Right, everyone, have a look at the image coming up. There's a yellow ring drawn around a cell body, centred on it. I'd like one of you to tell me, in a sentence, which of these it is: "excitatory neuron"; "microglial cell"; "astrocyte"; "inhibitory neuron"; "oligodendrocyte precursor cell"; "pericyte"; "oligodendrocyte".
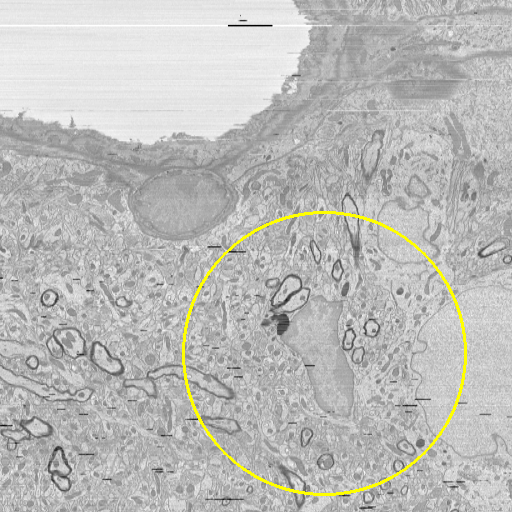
The yellow ring sits on a microglial cell.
